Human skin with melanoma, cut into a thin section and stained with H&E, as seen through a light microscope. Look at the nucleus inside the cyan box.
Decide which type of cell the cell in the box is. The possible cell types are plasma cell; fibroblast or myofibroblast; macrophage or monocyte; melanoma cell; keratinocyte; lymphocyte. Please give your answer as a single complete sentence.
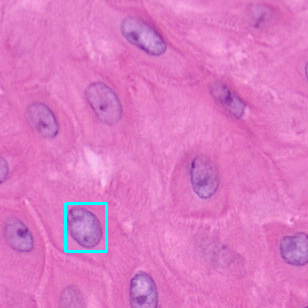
As a matter of cell type, the cell in the box is a keratinocyte.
